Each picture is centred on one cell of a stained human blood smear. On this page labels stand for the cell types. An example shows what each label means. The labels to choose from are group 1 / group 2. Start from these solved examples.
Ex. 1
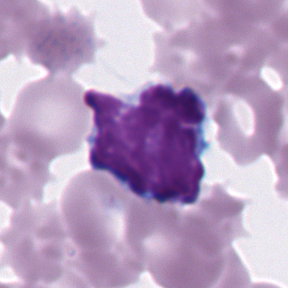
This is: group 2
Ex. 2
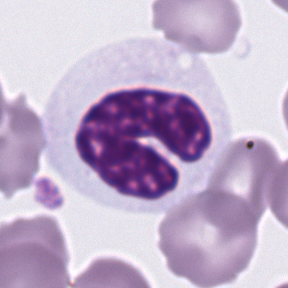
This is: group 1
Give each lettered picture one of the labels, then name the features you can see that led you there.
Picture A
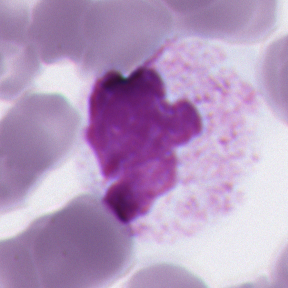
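Answer: group 1. The cytoplasm is pale and nearly colourless.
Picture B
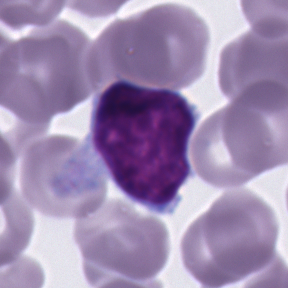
Answer: group 2. The cytoplasm forms only a thin rim around most of the nucleus.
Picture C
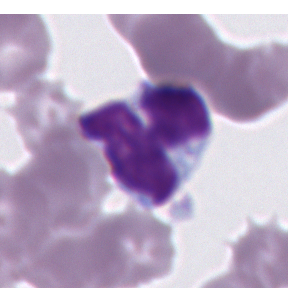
Answer: group 2. The nucleus fills most of the cell.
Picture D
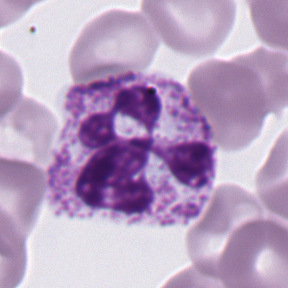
Answer: group 1. The largest nuclear lobe lies in the lower left of the cell.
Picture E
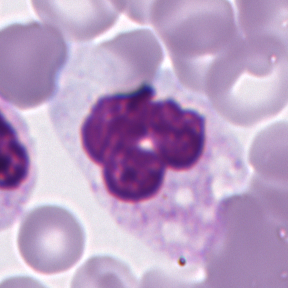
Answer: group 1. The lobes meet around a small clear gap near the middle of the nucleus.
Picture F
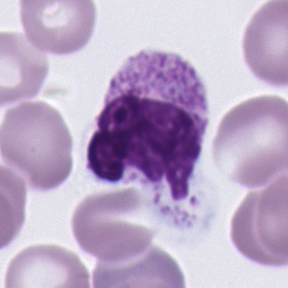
Answer: group 1. The nucleus is irregular and folded into lobes.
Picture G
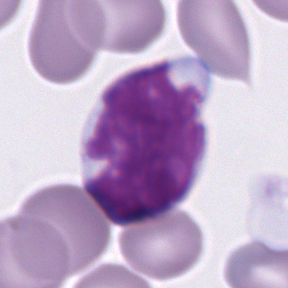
Answer: group 2. The cytoplasm is a thin rim that widens into a pale cap at the upper right of the cell.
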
